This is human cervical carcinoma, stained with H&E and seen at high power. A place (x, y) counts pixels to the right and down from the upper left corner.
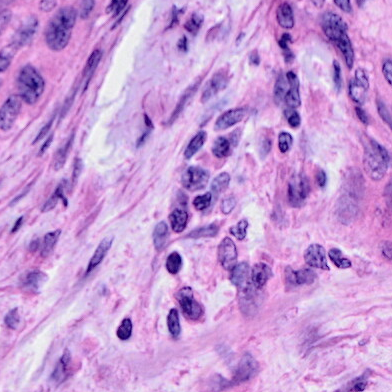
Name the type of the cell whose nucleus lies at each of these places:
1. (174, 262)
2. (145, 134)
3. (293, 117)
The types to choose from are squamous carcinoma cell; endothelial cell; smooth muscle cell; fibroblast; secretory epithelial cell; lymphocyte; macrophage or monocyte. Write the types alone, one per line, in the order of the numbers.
lymphocyte
fibroblast
lymphocyte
